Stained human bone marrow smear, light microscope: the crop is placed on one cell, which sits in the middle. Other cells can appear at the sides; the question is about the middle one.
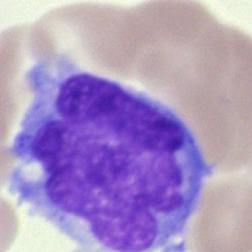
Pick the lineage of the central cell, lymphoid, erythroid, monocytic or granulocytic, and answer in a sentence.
The central cell in this crop should be counted within the monocytic lineage.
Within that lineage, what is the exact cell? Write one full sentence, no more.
This crop is built around a monocyte at its centre.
